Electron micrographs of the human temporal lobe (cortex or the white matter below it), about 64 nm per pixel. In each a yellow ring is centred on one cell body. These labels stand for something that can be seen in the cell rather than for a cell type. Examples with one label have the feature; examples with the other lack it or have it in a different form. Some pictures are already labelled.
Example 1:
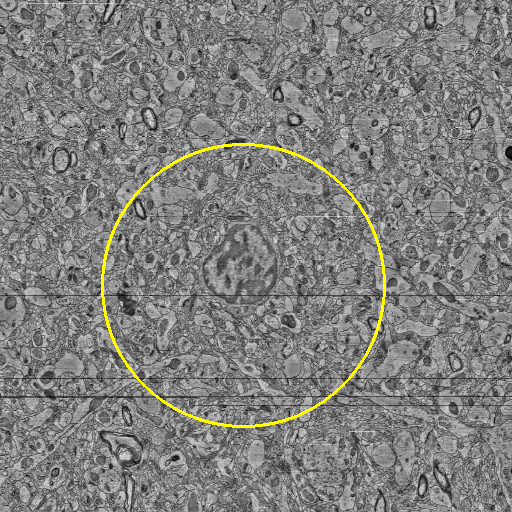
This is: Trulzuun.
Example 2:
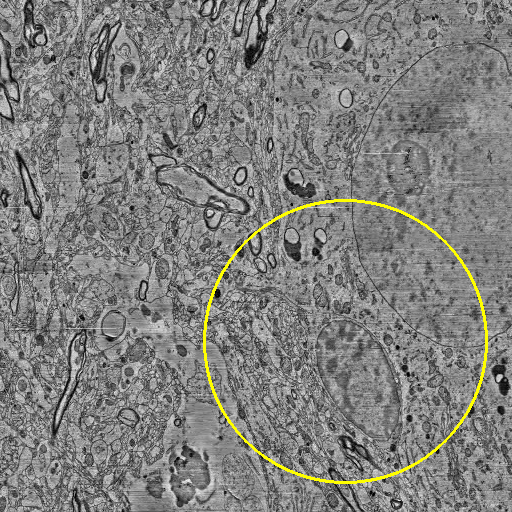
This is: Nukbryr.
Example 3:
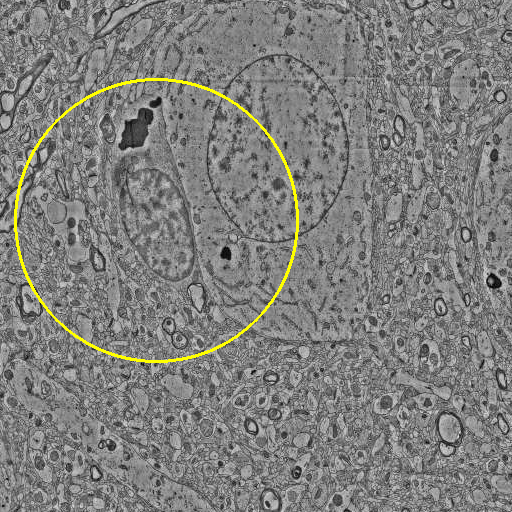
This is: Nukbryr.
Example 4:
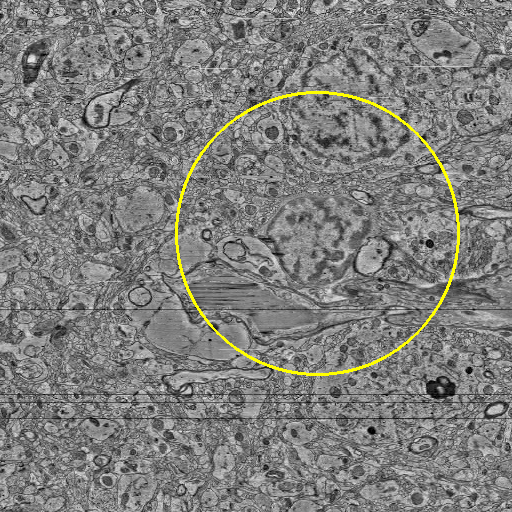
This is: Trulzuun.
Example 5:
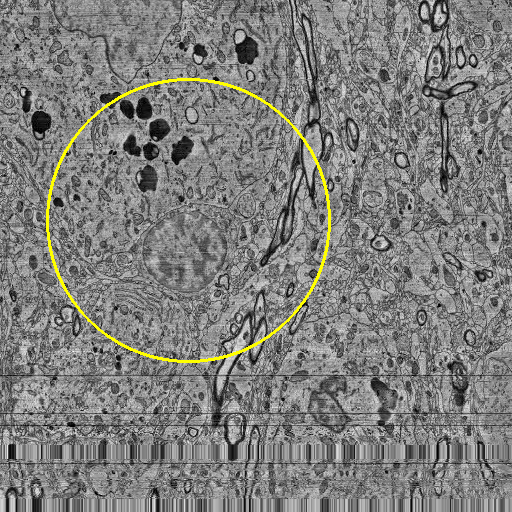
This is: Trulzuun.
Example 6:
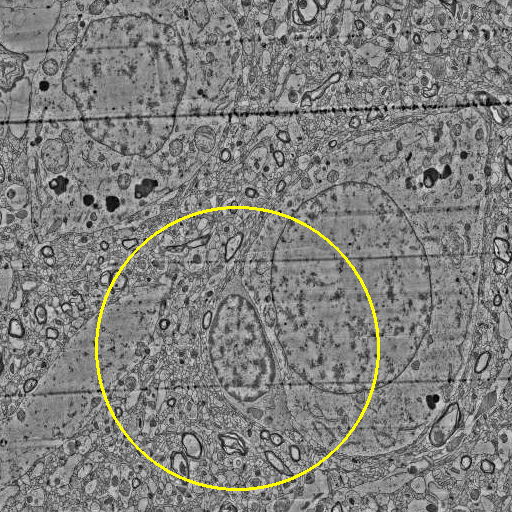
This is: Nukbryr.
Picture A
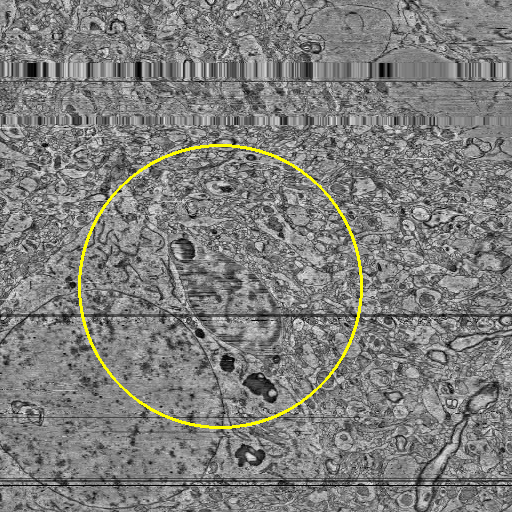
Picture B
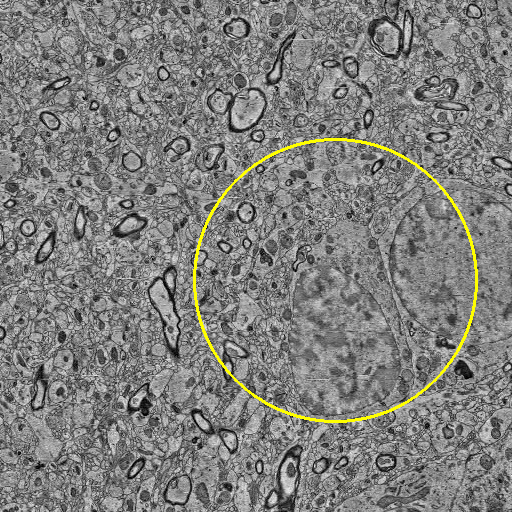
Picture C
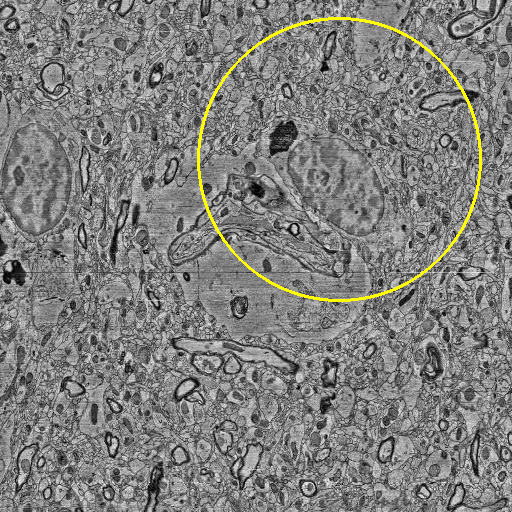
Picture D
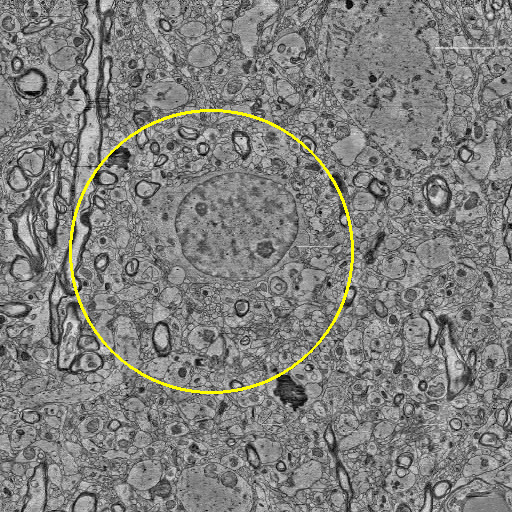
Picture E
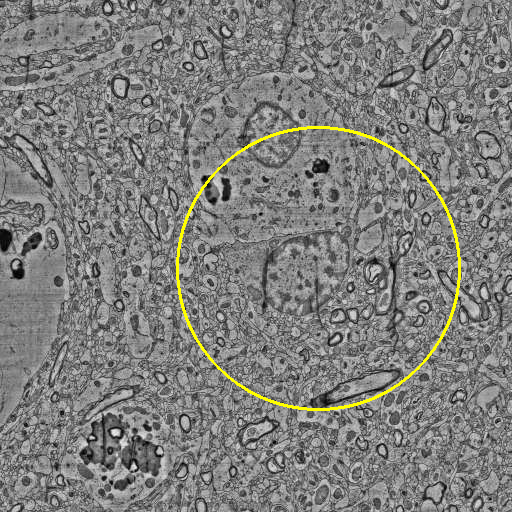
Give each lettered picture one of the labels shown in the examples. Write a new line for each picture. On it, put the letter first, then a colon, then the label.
A: Nukbryr.
B: Nukbryr.
C: Nukbryr.
D: Trulzuun.
E: Trulzuun.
